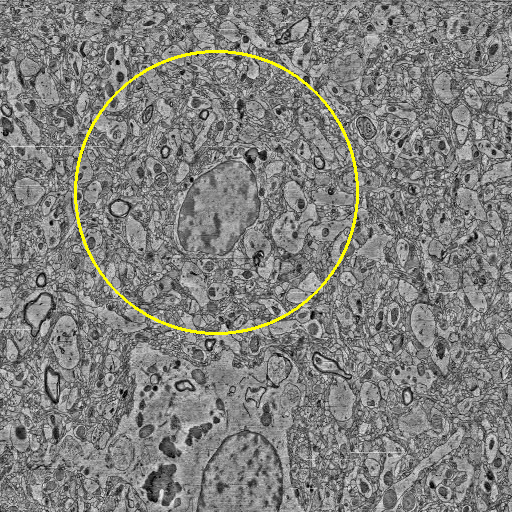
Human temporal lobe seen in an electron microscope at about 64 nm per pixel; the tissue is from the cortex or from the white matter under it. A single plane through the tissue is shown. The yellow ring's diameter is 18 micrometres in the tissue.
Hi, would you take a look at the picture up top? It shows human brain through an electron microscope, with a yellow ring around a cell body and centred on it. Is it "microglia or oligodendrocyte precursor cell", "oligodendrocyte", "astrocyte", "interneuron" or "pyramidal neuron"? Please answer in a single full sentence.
The best fit for the cell in the middle of the ring is a microglial cell or oligodendrocyte precursor cell, I reckon.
